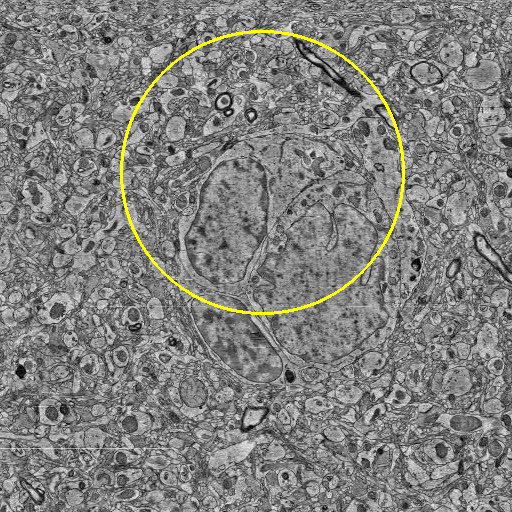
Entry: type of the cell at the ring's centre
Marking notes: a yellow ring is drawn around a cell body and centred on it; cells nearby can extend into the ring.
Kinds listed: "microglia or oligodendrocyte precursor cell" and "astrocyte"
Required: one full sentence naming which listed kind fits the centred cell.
My entry names a microglial cell or oligodendrocyte precursor cell as the cell whose body the yellow ring centres on.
